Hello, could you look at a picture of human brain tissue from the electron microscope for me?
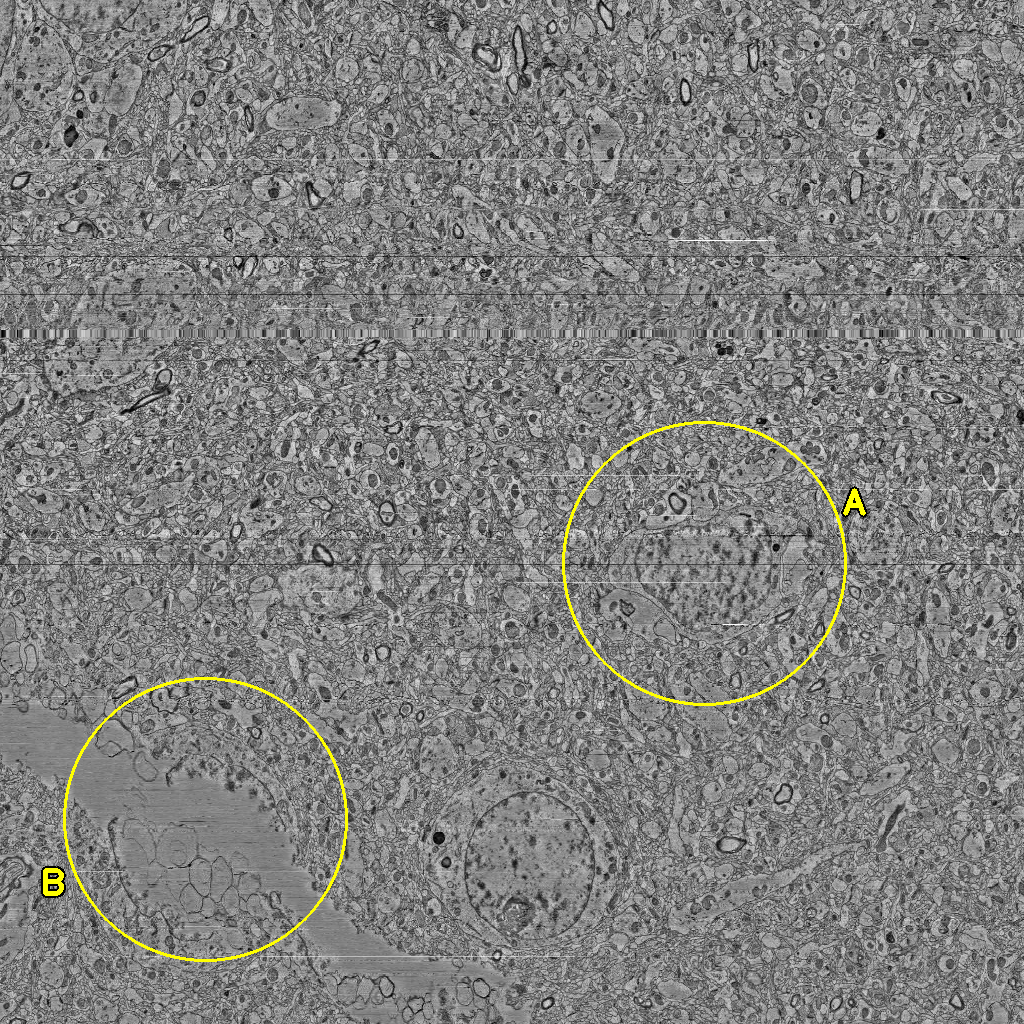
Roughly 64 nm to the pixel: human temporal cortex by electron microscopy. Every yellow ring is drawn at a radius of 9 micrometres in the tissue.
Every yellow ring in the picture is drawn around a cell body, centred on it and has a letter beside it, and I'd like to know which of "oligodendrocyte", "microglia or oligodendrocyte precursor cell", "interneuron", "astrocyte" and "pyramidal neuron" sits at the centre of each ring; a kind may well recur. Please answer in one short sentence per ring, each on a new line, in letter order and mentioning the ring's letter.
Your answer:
The cell sitting at the centre of ring A is an interneuron.
The cell sitting at the centre of ring B is a pyramidal neuron.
